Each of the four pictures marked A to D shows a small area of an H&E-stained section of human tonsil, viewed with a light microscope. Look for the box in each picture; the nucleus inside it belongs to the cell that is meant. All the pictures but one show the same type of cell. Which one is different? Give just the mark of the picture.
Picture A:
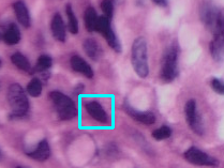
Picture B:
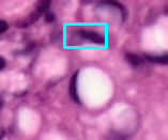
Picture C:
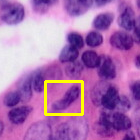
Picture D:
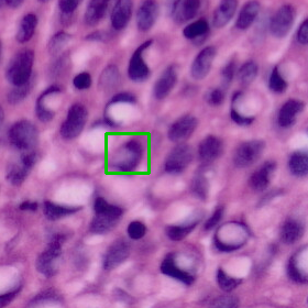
C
